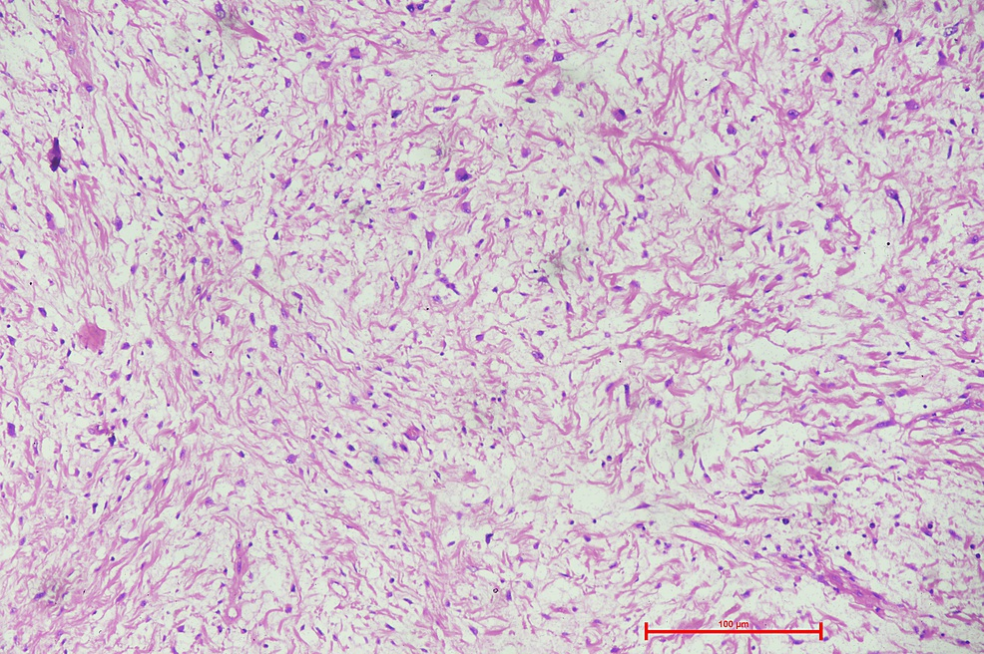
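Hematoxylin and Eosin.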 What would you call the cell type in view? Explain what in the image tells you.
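Many scattered cells have elongated, tapering purple nuclei. Cells lie singly in a loose pink fibrillary background. Nuclei vary in size and shape from cell to cell. That points to this answer: spindle cells.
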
